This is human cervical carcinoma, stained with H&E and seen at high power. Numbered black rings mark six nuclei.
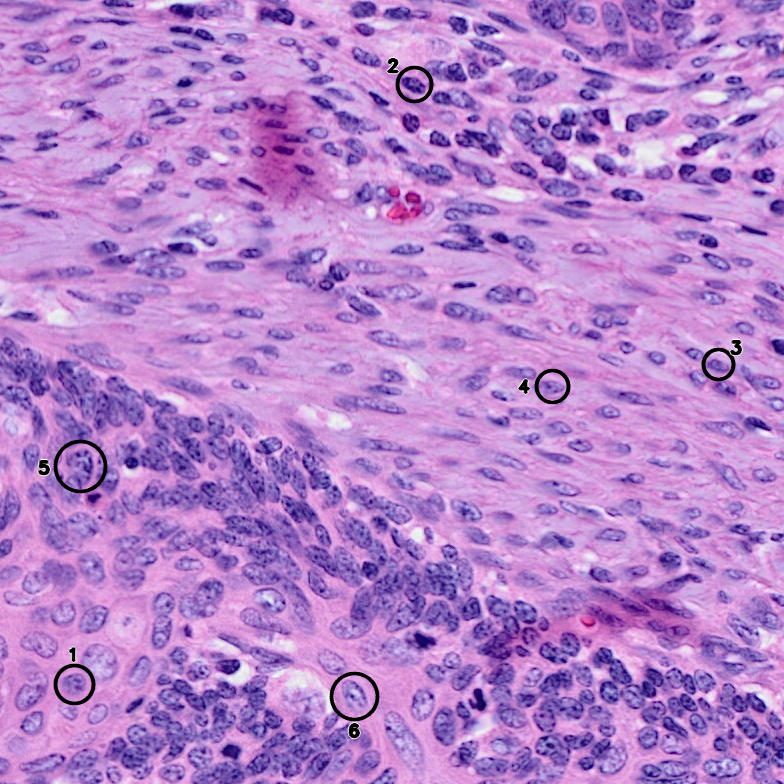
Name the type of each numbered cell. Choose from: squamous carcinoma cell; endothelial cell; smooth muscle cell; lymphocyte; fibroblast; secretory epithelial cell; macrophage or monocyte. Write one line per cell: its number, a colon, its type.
1: squamous carcinoma cell
2: lymphocyte
3: smooth muscle cell
4: smooth muscle cell
5: squamous carcinoma cell
6: squamous carcinoma cell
